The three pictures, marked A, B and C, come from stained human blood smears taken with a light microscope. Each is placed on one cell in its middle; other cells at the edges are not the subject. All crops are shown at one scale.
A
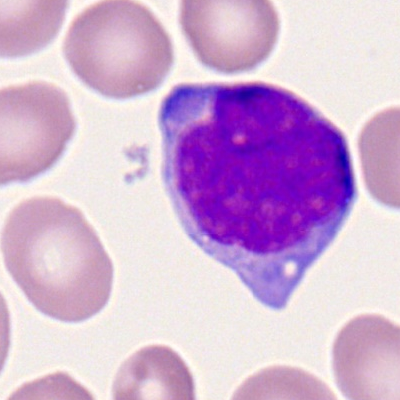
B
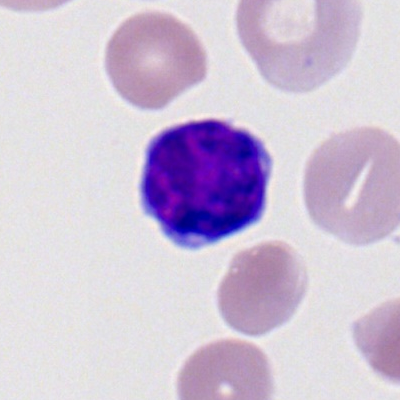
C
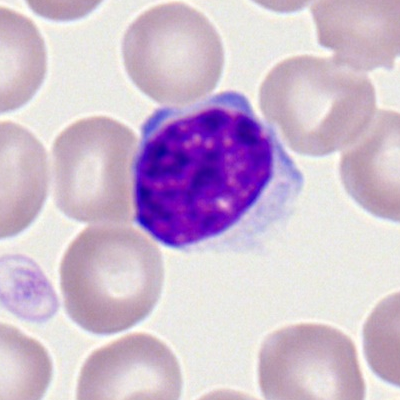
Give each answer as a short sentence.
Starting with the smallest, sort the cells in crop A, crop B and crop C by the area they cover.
Going up, they run B, C, A.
